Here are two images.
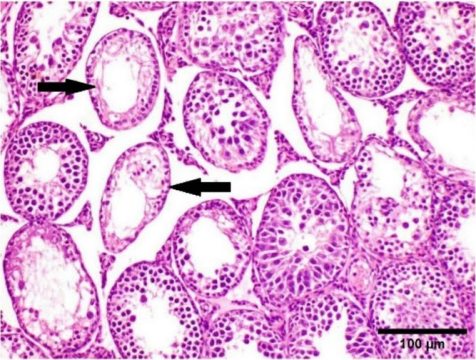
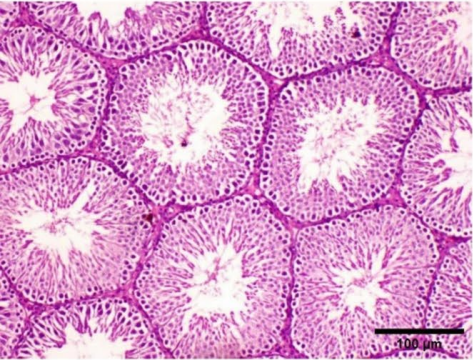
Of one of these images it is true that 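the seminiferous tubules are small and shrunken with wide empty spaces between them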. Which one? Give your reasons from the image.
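First image: small, rounded, irregular tubules separated by wide clear spaces, several with thin epithelium. Second image: large tubules packed closely together with thin interstitium and thick epithelium. That points to this answer: the first image.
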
